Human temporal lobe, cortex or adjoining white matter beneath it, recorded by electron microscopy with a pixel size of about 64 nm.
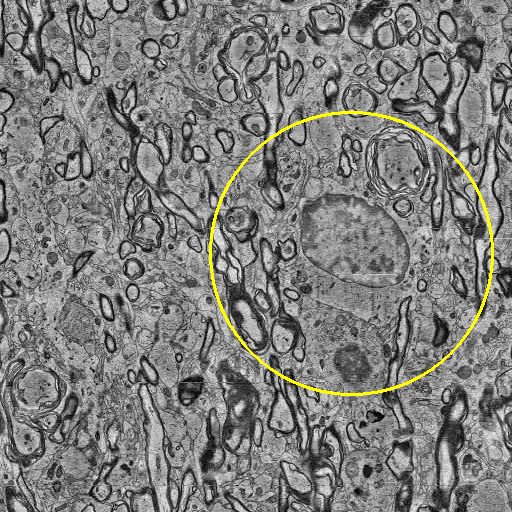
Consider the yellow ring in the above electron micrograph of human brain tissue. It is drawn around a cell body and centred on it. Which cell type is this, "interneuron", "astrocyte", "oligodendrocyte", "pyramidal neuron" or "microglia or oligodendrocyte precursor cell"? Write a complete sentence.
The cell in question is a microglial cell or oligodendrocyte precursor cell.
